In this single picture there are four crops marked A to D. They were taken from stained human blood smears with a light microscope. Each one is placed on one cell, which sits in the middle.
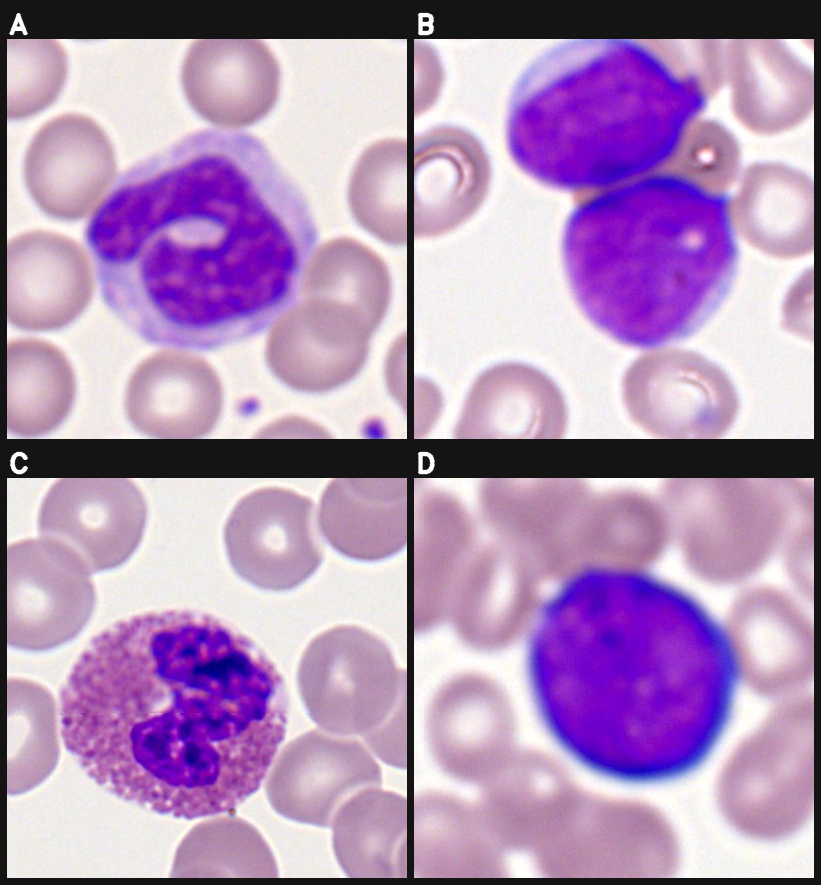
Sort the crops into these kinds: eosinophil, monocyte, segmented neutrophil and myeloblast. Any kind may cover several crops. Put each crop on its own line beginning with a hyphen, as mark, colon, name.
- A: monocyte
- B: myeloblast
- C: eosinophil
- D: myeloblast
